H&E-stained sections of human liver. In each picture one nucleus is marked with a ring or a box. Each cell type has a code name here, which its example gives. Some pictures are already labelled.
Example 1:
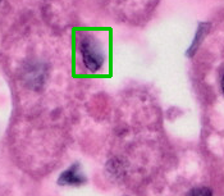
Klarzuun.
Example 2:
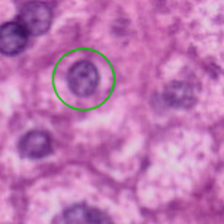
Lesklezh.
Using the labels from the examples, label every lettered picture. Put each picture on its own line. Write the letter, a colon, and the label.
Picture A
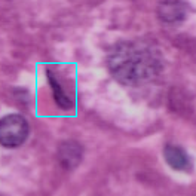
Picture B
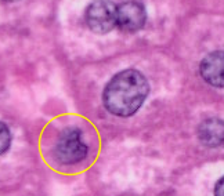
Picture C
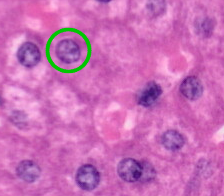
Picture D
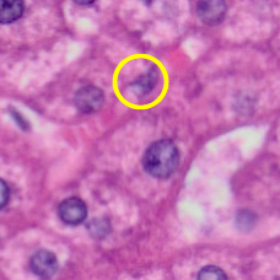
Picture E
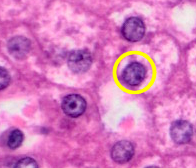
A: Klarzuun.
B: Klarzuun.
C: Lesklezh.
D: Klarzuun.
E: Lesklezh.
